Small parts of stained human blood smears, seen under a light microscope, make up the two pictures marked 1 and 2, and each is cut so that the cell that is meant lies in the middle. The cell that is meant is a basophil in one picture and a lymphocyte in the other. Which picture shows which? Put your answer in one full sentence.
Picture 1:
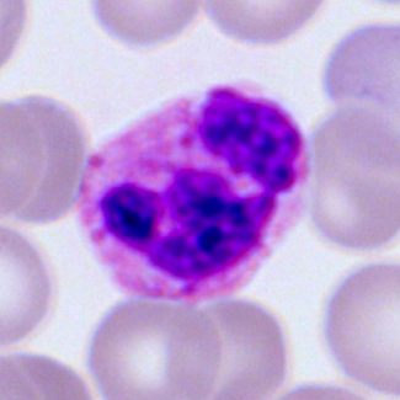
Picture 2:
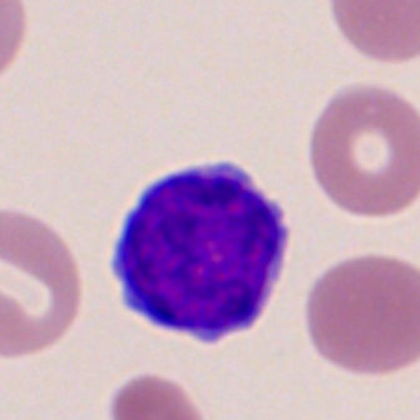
Picture 1 is of a basophil, and picture 2 is of a lymphocyte.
